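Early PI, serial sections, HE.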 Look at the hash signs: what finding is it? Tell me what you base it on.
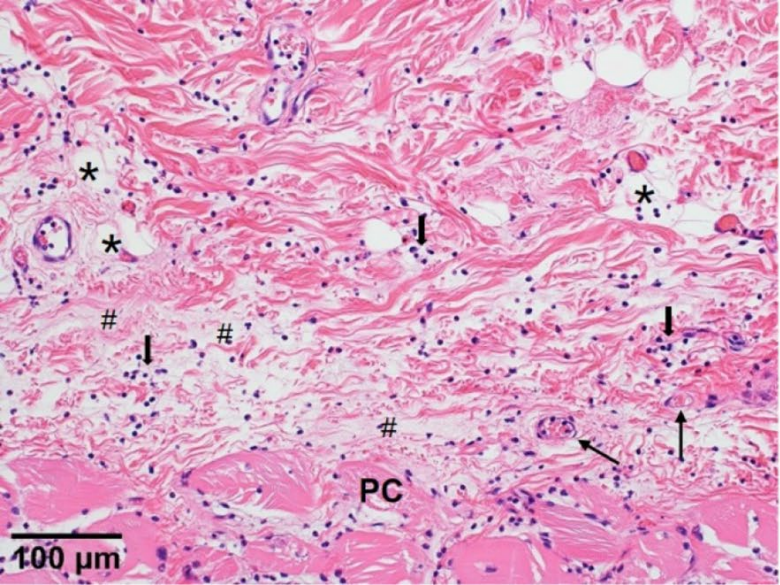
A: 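The hash signs lie in a pale, loose band where pink fibres are thin and widely spaced. Clear space separates the fibres here, unlike the dense pink collagen above.
Answer: edema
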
